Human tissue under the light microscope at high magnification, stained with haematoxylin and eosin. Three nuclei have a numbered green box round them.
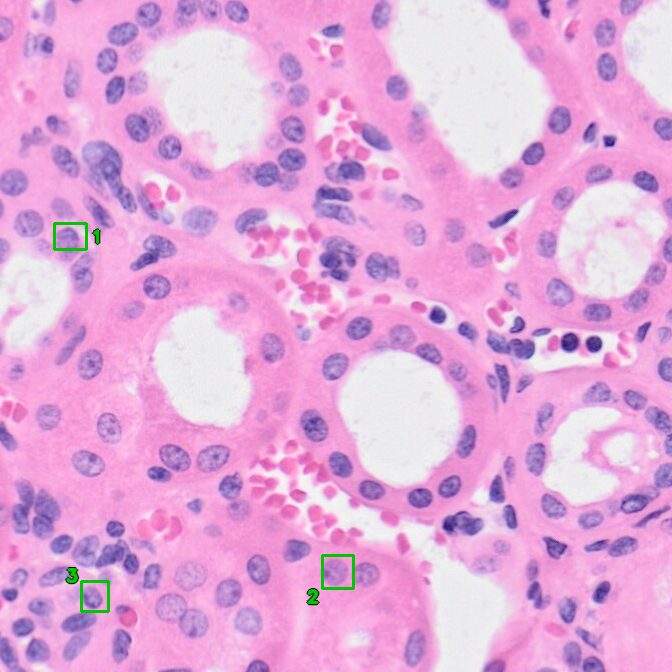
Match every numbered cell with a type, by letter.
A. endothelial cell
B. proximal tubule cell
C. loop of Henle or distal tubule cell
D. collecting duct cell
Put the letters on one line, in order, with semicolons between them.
D; B; D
